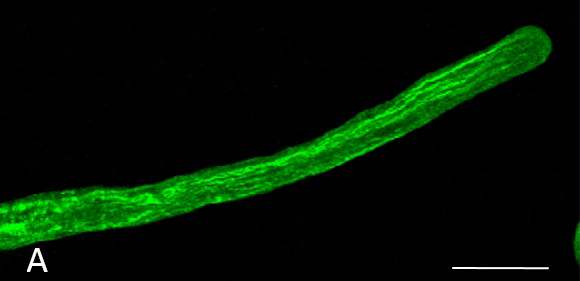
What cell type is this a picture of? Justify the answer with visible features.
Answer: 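Pollen tube. A long, narrow, unbranched tubular cell of even width. The tube ends in a rounded tip. Fine green strands run lengthwise along the tube.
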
